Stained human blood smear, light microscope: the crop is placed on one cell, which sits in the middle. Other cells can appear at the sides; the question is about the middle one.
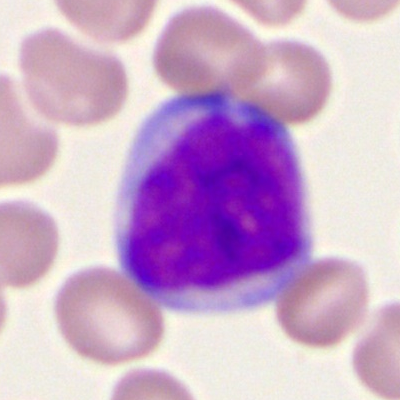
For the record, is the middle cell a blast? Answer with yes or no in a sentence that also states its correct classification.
Yes, that is right: the middle cell is a blast.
